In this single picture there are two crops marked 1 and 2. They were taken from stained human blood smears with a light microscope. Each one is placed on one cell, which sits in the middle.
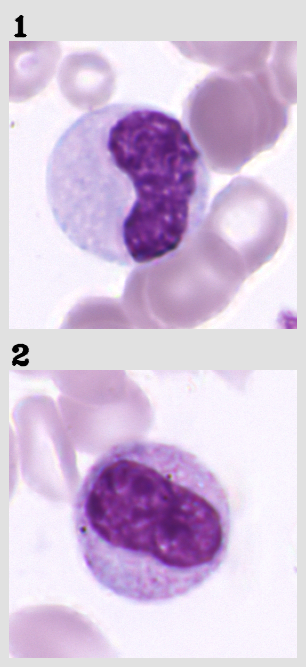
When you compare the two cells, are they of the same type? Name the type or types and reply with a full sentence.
Yes, the cells found in the middle of both crops are metamyelocytes.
